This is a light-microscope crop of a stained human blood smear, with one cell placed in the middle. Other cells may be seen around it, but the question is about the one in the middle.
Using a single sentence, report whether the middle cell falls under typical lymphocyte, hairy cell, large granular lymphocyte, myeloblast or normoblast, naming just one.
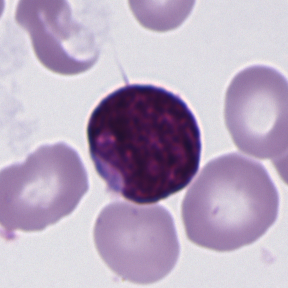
The cell found in the middle of this crop is a myeloblast.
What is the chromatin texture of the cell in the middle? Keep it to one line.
The chromatin pattern here is coarse and clumped.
